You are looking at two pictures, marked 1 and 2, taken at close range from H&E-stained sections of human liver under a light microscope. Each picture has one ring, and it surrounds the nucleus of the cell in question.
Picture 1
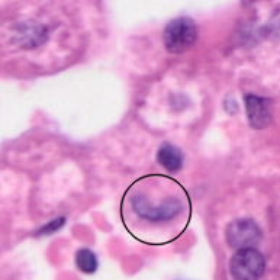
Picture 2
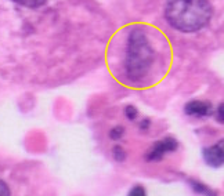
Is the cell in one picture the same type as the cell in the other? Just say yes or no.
yes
